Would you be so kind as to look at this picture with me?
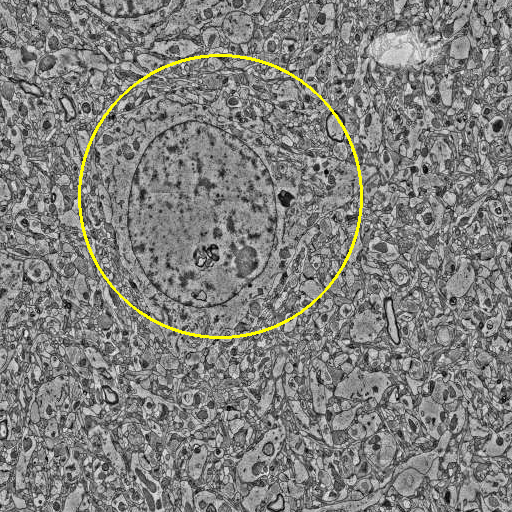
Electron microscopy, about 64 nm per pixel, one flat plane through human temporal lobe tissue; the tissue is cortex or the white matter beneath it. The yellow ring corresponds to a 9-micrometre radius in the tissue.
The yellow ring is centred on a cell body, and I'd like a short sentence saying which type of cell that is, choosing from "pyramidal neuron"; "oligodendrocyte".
The cell body in the ring belongs to a pyramidal neuron.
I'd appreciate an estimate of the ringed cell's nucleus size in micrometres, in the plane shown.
The nucleus measures about 12 by 10 micrometres in this plane.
